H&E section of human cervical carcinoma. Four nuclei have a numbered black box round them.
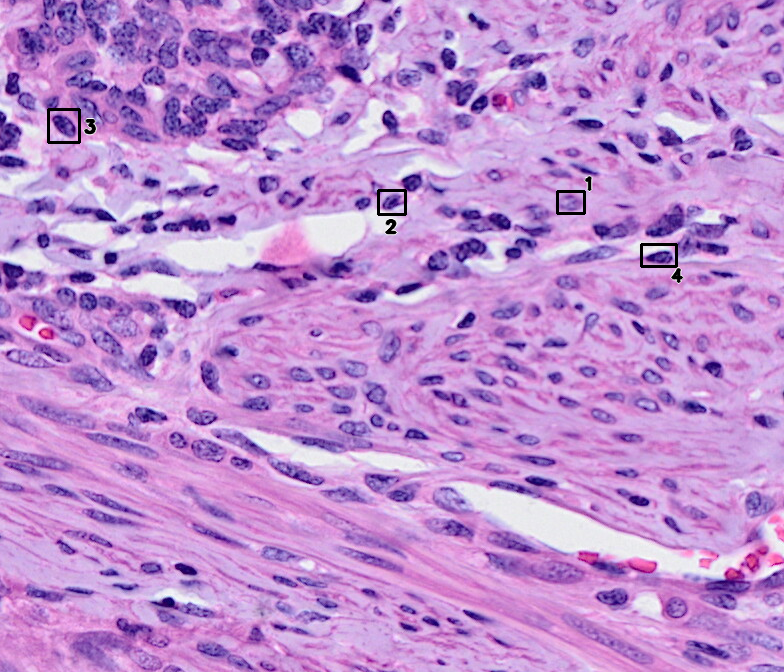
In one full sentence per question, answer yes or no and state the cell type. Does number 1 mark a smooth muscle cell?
Yes. The cell carrying number 1 is a smooth muscle cell.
